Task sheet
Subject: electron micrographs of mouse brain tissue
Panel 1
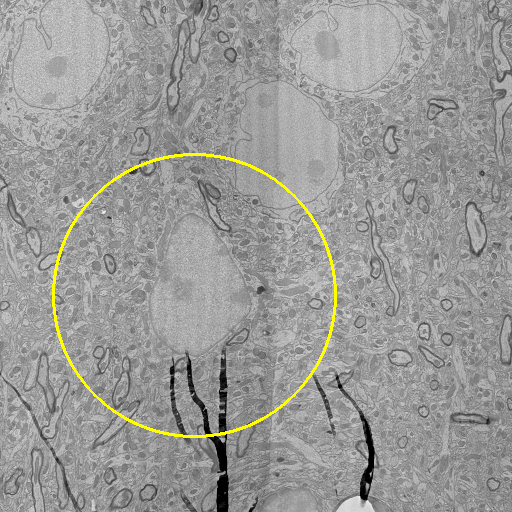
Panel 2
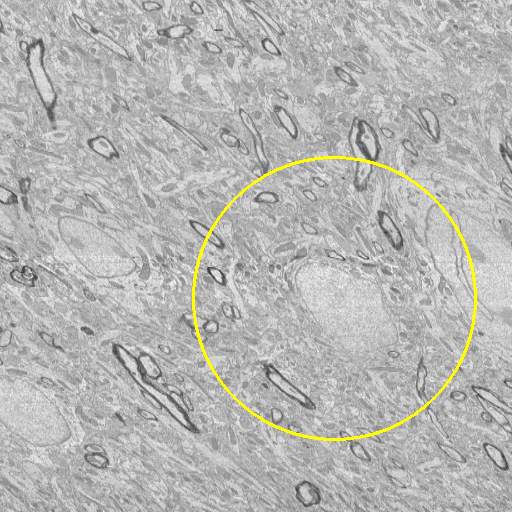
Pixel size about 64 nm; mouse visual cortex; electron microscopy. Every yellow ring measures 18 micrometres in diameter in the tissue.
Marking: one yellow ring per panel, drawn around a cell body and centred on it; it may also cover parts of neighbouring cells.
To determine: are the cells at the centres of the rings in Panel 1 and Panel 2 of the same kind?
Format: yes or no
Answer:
yes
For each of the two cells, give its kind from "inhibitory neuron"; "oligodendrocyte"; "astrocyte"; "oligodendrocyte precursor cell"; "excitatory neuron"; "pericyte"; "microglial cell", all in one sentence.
Both cells are the same kind, each one being an astrocyte.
